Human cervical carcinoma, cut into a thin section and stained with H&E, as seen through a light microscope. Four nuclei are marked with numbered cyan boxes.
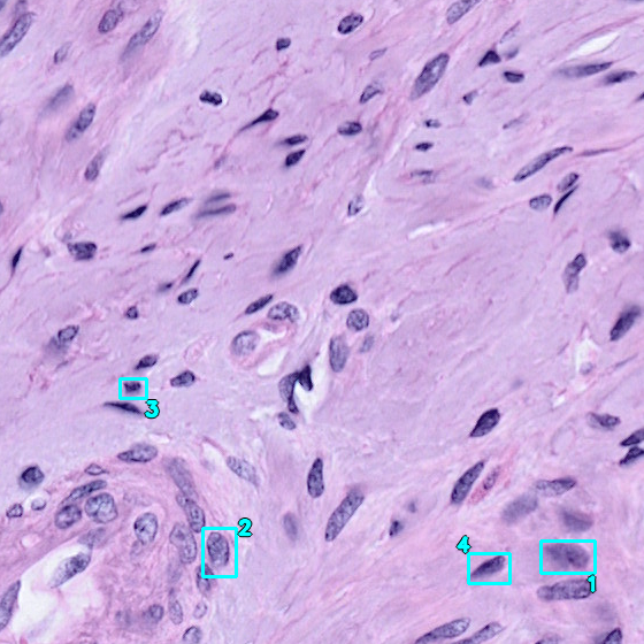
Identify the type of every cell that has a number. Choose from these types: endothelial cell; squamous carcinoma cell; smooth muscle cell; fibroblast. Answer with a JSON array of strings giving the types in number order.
["fibroblast", "smooth muscle cell", "fibroblast", "fibroblast"]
